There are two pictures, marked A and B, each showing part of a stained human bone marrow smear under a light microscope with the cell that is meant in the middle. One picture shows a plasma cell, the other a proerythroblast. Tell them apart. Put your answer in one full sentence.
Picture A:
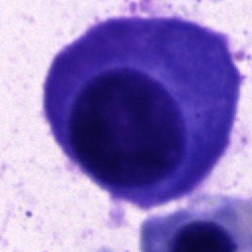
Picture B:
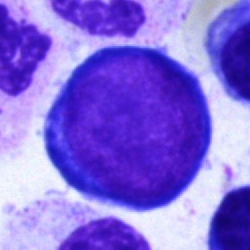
It is picture A that shows a plasma cell, and picture B that shows a proerythroblast.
